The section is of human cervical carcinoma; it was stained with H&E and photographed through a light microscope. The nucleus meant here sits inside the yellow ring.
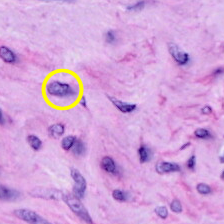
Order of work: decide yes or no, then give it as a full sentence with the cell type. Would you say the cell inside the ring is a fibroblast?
No, scored properly, the cell inside the ring is a smooth muscle cell rather than a fibroblast.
